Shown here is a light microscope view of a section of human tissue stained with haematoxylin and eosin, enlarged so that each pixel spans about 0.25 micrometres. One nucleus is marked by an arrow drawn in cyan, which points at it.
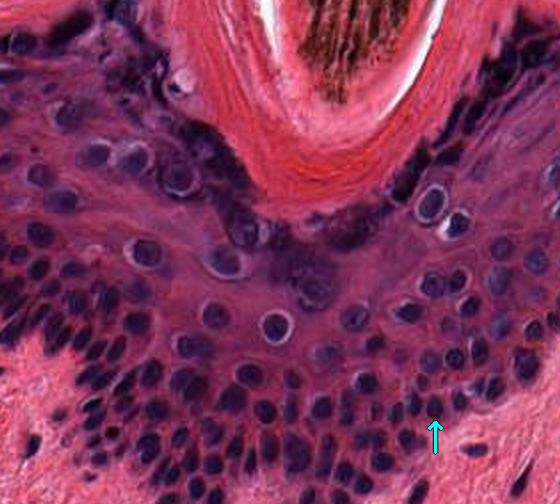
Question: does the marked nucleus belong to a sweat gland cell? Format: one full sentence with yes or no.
No, the marked nucleus sits in a keratinocyte, not in a sweat gland cell.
